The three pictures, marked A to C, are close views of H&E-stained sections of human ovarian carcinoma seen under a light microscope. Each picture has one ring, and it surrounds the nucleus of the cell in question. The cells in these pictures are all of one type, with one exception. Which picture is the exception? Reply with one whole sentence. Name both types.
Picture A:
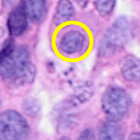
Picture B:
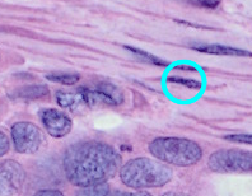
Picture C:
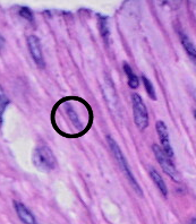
Unlike the rest, which show fibroblasts, picture A shows a carcinoma cell.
